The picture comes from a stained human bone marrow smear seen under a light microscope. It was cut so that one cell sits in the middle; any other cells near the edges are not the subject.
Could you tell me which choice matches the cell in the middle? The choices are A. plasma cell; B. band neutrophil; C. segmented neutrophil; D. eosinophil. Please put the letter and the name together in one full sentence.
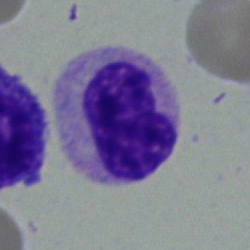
The correct response is option B, naming the cell in the middle as a band neutrophil.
